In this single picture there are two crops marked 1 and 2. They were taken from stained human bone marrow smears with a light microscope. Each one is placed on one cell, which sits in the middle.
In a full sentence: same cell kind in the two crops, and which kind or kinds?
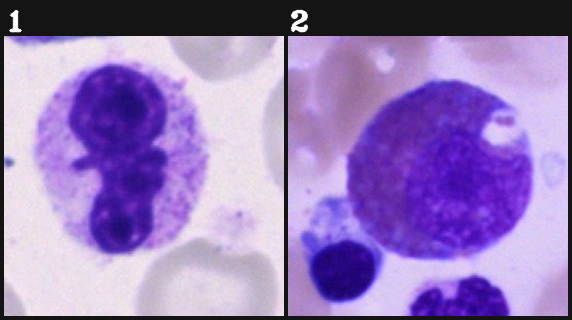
No, cell 1 is a neutrophil, and cell 2 is an eosinophil.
